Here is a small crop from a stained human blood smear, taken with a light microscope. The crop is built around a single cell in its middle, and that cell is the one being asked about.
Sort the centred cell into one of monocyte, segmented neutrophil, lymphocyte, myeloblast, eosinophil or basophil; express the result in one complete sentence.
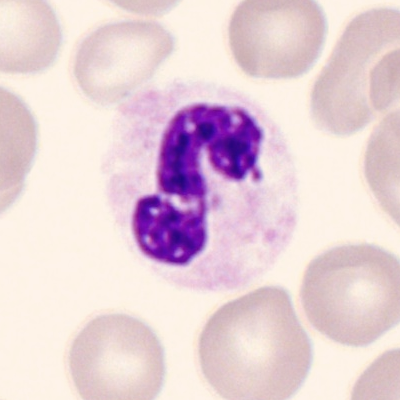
The cell centred in this crop is categorized as a segmented neutrophil.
